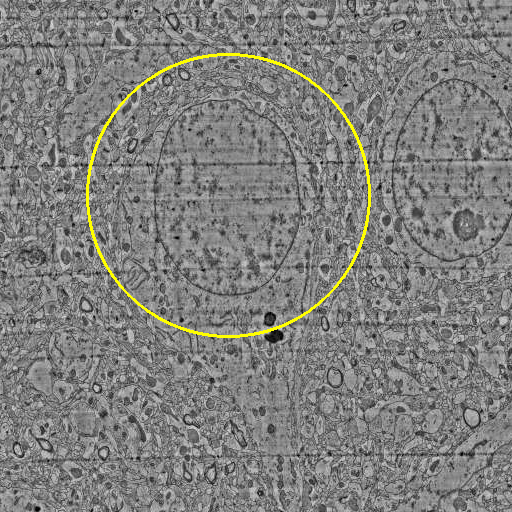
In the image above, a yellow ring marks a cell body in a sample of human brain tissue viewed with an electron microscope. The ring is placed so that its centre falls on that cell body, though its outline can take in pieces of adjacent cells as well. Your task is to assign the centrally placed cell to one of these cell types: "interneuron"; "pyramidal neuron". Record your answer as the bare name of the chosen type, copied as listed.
pyramidal neuron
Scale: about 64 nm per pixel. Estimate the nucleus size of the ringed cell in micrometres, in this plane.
The nucleus appears roughly 13 by 10 micrometres in this plane.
